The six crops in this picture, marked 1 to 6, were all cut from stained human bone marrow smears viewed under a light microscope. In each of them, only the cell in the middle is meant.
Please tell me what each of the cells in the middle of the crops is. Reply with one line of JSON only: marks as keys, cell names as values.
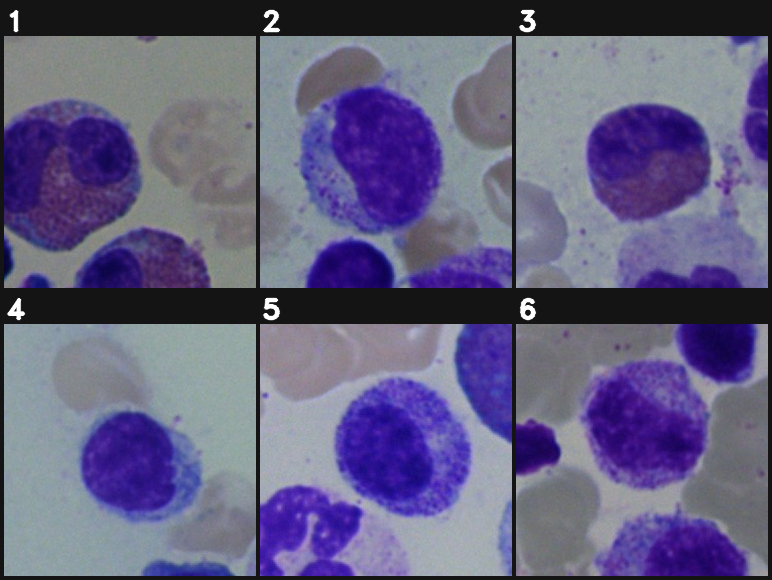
{"1": "eosinophil", "2": "myelocyte", "3": "eosinophil", "4": "lymphocyte", "5": "myelocyte", "6": "myelocyte"}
